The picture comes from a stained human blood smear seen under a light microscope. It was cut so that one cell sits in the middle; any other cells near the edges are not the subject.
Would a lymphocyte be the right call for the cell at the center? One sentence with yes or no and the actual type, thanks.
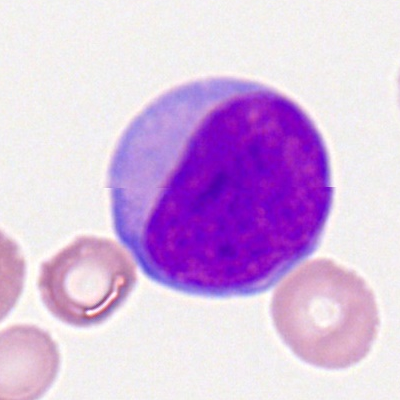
No, rather than being a lymphocyte, the central cell is a myeloblast.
